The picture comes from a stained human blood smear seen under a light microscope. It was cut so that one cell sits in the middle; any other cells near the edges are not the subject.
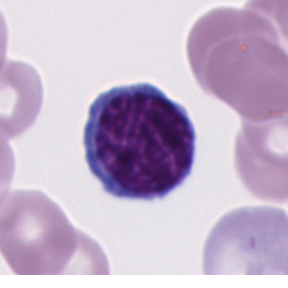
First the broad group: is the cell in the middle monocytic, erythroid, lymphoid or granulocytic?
erythroid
